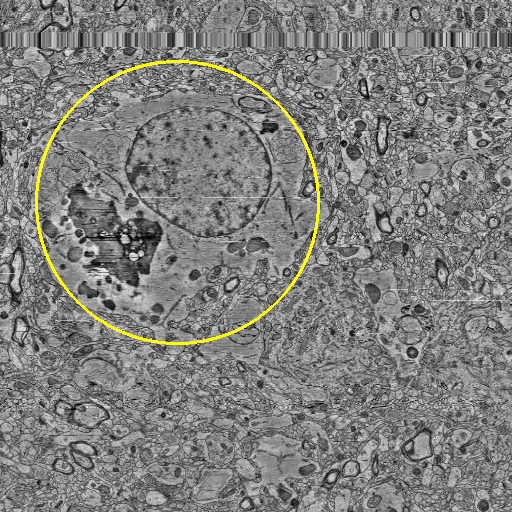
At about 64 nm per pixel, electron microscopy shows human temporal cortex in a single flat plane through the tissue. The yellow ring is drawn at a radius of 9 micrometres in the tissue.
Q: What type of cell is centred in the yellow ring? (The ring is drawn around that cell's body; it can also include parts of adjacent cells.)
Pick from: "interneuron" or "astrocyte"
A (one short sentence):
The yellow ring is centred on an astrocyte.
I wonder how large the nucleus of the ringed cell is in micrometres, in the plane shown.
Roughly 9 micrometers across in this plane.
